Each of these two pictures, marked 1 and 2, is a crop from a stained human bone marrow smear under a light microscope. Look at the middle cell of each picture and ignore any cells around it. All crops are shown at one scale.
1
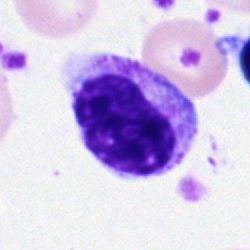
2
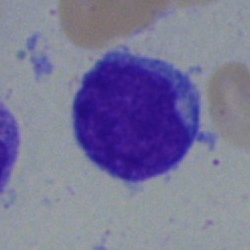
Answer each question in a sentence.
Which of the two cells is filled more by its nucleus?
It is the cell in crop 2 that is filled more by its nucleus.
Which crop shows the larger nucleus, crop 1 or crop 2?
Crop 2 shows the larger nucleus; it covers about 1.5 times the area of the nucleus in crop 1.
